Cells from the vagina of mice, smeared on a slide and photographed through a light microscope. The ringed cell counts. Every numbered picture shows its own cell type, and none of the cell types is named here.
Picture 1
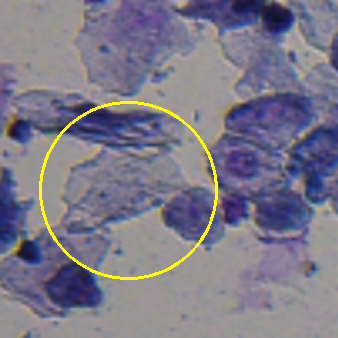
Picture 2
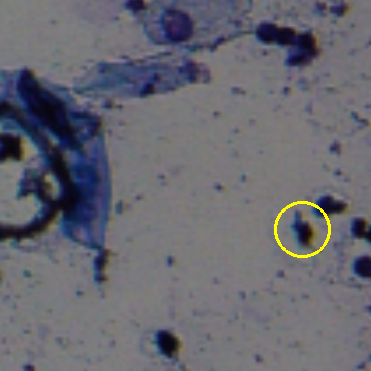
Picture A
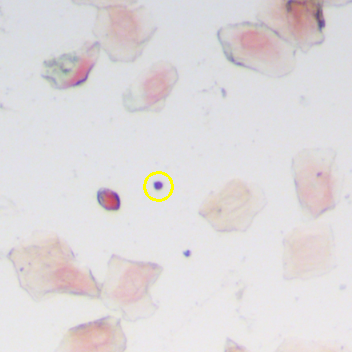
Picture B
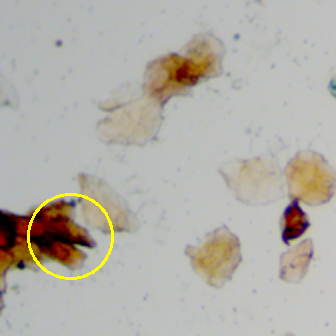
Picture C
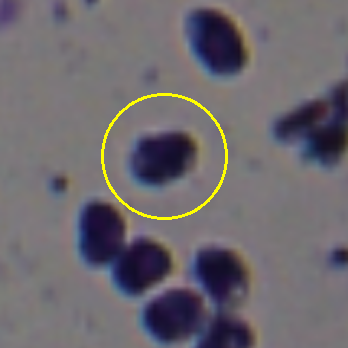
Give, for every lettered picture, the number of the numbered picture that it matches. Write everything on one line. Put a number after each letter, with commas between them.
A 2, B 1, C 2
